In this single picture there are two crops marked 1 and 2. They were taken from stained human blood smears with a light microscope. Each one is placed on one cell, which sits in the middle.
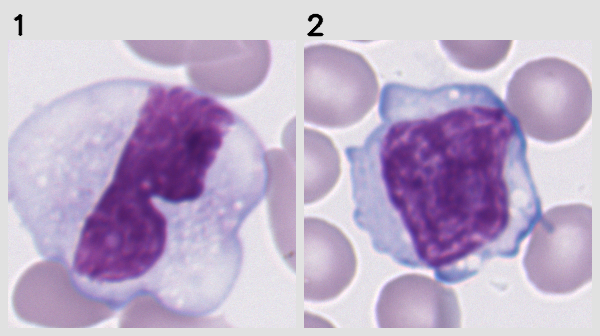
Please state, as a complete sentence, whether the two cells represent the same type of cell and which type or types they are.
No, record crop 1 as a monocyte and crop 2 as a blast.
